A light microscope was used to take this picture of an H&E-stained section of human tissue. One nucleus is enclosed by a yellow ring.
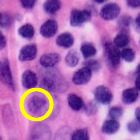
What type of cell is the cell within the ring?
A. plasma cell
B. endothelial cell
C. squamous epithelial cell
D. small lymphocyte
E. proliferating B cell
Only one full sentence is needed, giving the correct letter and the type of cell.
According to option B, the cell within the ring is an endothelial cell, and this is correct.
